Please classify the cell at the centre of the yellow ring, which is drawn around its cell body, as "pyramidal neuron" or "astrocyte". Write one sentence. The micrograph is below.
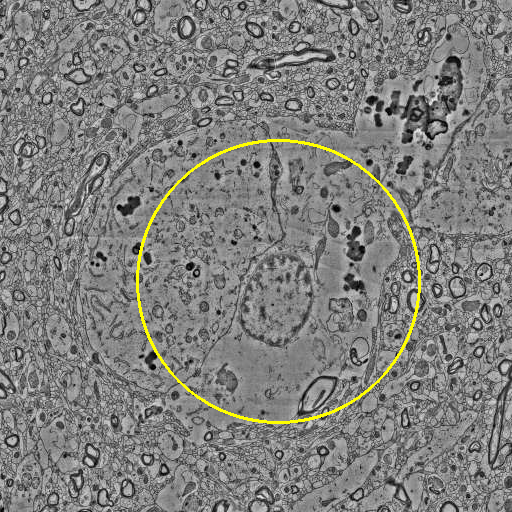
The cell at the ring's centre is classified as an astrocyte.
